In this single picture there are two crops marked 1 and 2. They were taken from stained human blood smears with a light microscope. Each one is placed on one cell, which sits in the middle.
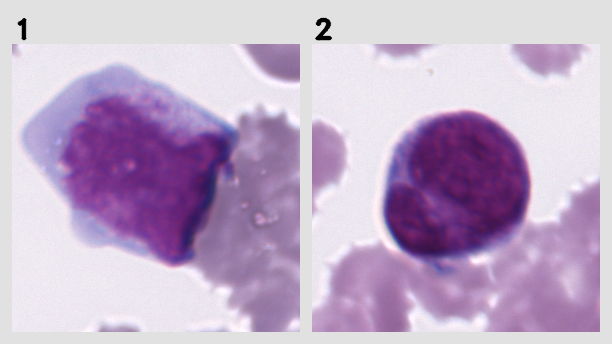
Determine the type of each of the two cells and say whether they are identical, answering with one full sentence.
Yes, both crops show myeloblasts, one in each.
